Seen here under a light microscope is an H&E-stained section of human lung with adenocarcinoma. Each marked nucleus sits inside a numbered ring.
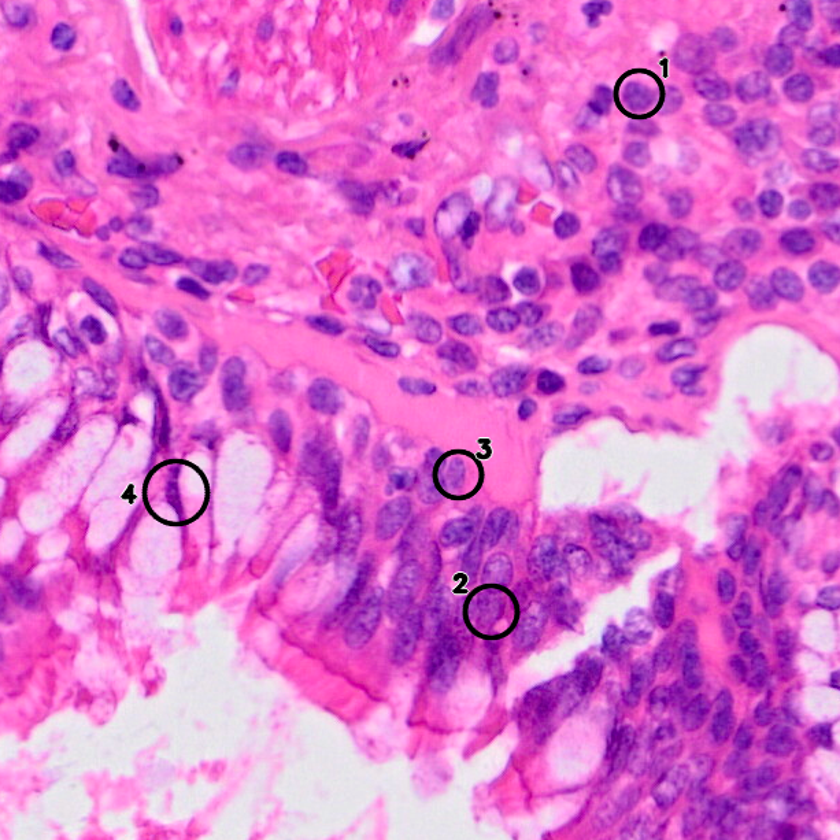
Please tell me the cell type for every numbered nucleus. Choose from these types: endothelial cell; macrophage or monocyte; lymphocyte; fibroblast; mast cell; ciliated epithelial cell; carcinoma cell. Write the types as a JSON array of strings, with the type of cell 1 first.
["lymphocyte", "ciliated epithelial cell", "ciliated epithelial cell", "ciliated epithelial cell"]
